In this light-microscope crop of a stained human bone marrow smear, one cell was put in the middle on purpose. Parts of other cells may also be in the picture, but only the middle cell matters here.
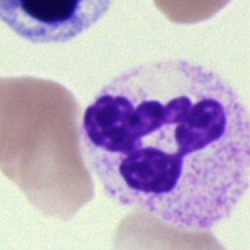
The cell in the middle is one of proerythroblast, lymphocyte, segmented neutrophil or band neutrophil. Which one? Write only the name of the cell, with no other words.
segmented neutrophil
